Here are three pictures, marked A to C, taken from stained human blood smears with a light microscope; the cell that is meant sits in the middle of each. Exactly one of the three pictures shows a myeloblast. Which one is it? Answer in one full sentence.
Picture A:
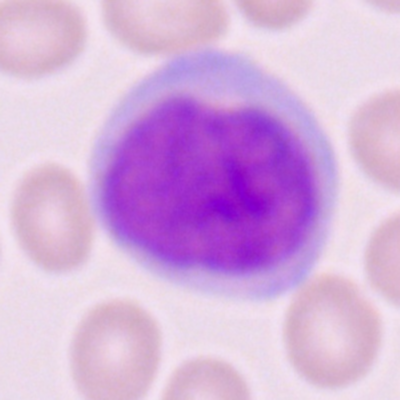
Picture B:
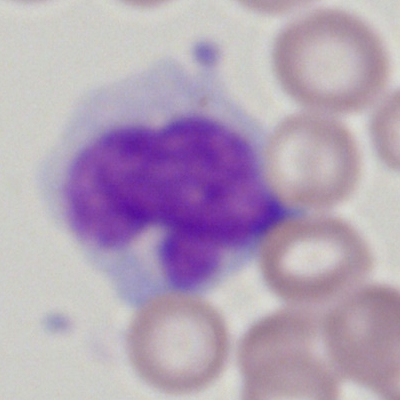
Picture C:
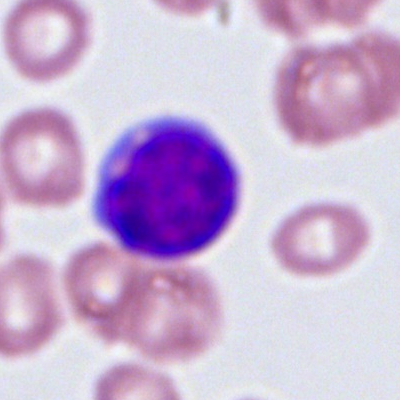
Picture A is the one that shows the myeloblast.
